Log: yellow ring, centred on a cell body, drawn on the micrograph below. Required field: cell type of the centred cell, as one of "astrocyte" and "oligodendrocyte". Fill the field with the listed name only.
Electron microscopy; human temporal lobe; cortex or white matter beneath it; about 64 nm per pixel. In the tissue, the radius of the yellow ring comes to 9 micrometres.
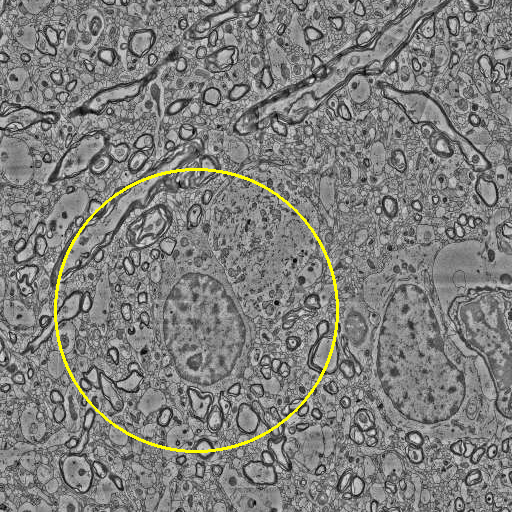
oligodendrocyte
